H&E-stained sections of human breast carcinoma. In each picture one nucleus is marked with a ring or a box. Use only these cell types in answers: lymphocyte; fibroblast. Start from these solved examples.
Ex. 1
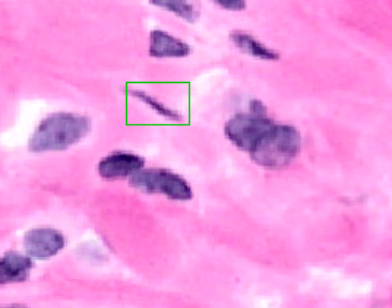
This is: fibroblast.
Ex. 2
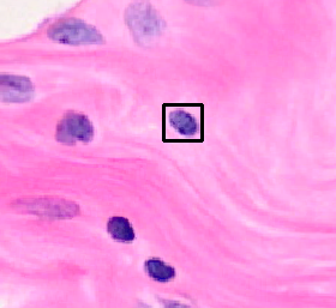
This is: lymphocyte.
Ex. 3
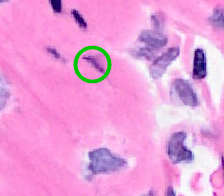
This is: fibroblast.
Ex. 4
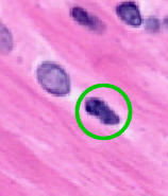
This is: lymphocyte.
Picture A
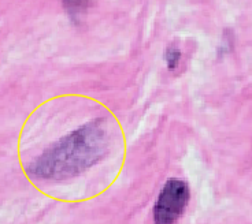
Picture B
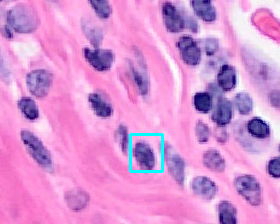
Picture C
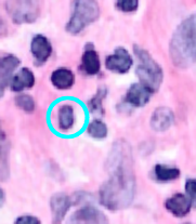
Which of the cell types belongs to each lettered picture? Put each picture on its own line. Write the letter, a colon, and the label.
A: fibroblast.
B: lymphocyte.
C: lymphocyte.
